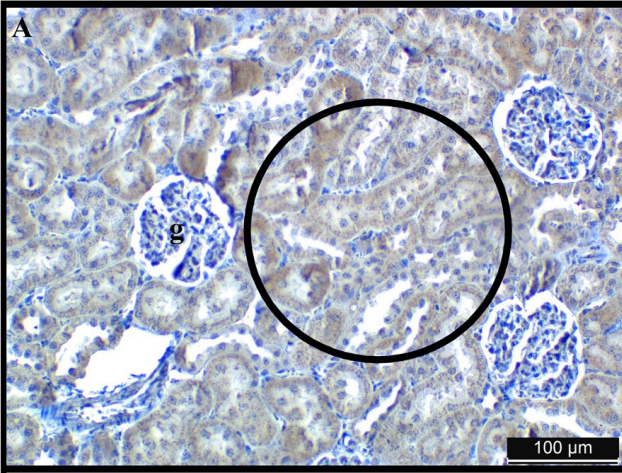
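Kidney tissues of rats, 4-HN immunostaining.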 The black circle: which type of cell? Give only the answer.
Tubule cells.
